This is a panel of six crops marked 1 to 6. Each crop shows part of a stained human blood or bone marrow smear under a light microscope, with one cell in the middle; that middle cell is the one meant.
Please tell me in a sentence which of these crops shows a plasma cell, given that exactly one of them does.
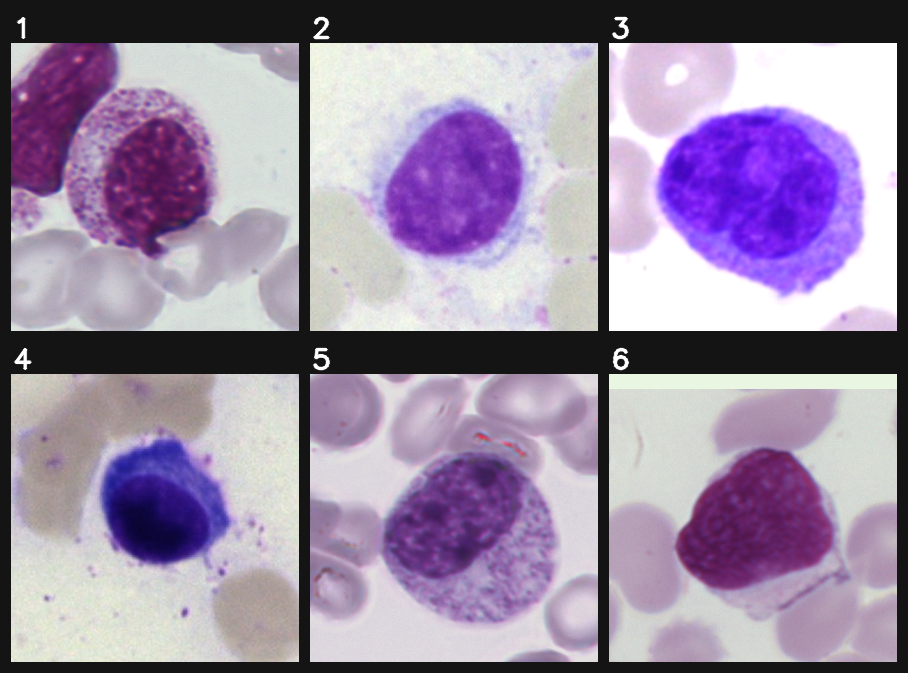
The one showing a plasma cell is crop 4.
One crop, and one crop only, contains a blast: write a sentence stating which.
Of all the crops, crop 6 is the one showing a blast.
